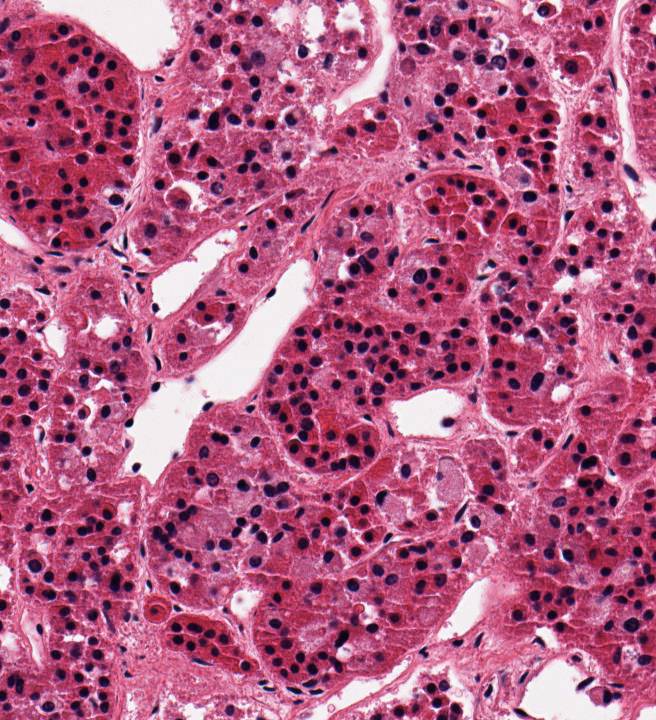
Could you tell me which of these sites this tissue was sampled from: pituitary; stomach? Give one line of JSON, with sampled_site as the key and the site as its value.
{"sampled_site": "pituitary"}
